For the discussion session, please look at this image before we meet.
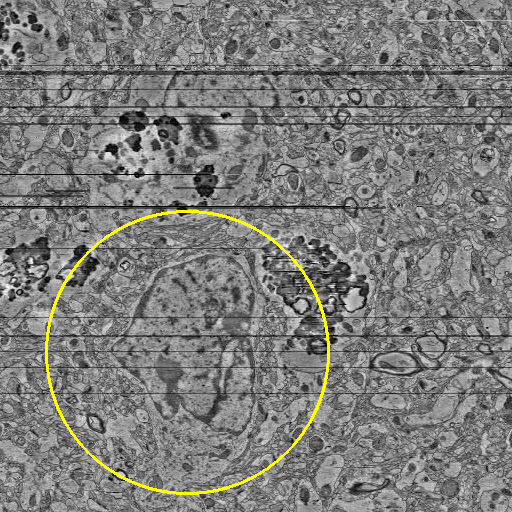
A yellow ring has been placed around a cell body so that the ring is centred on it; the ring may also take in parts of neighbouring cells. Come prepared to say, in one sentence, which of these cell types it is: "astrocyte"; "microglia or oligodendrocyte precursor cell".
The cell centred in the ring is a microglial cell or oligodendrocyte precursor cell.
